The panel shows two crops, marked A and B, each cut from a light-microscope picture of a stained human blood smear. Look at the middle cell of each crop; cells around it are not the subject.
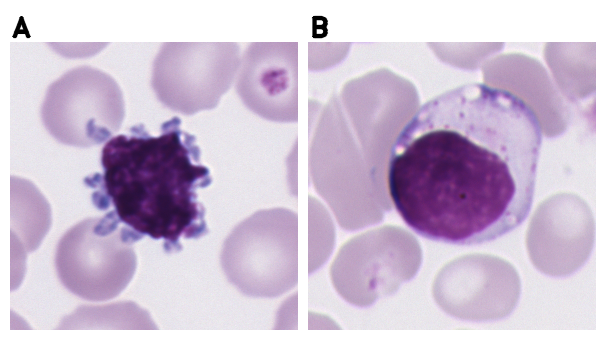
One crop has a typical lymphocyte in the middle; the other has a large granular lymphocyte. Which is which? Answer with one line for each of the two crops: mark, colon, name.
A: typical lymphocyte
B: large granular lymphocyte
